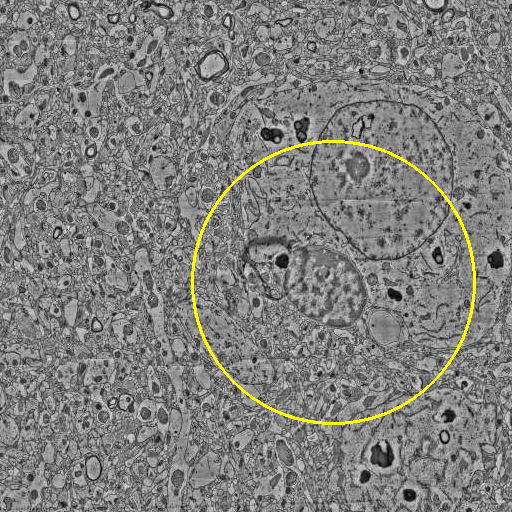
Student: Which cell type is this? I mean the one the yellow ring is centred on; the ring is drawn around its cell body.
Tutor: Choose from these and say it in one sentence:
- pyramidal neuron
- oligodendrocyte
The cell the ring is centred on is an oligodendrocyte.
